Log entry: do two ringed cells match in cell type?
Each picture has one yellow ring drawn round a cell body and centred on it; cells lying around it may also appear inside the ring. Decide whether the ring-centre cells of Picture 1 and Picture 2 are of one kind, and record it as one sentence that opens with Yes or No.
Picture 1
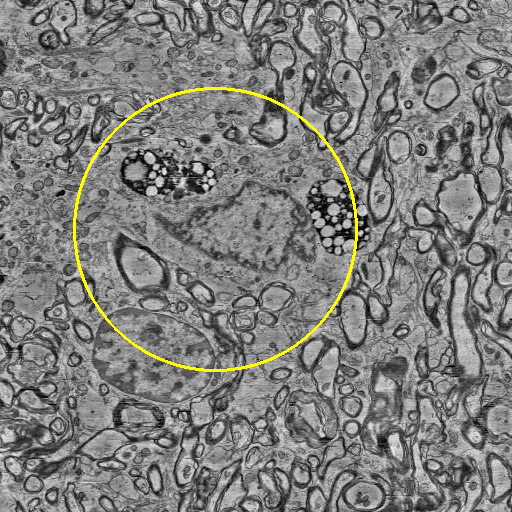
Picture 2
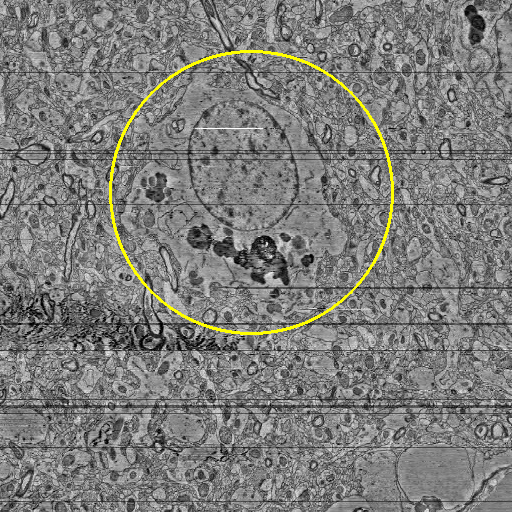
Yes, the cells at the ring centres of the two pictures belong to one kind.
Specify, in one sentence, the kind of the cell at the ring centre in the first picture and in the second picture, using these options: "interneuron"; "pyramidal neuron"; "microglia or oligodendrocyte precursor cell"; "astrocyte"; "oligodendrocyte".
In both pictures the ring is centred on an astrocyte.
